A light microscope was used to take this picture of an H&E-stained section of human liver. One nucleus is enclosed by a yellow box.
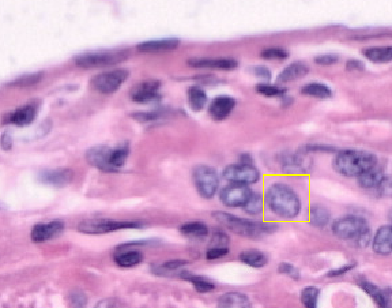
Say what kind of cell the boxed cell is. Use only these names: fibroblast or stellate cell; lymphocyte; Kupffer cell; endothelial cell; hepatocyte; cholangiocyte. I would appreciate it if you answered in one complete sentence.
By cell type, the boxed cell is a cholangiocyte.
